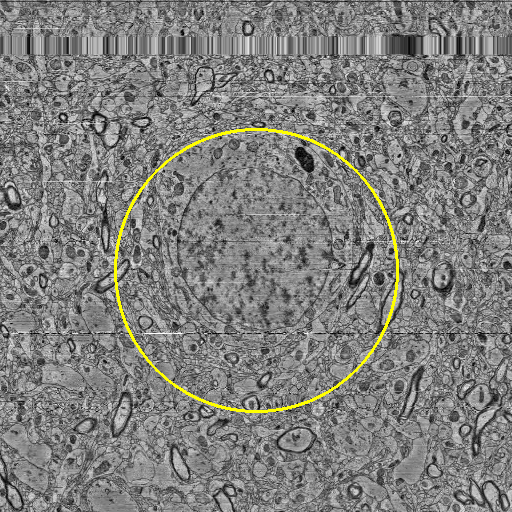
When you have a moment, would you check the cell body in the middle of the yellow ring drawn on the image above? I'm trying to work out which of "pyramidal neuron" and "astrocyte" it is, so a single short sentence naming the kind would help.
This cell body belongs to a pyramidal neuron.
